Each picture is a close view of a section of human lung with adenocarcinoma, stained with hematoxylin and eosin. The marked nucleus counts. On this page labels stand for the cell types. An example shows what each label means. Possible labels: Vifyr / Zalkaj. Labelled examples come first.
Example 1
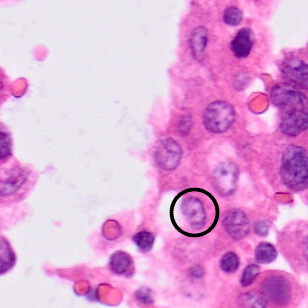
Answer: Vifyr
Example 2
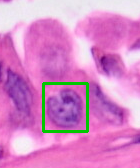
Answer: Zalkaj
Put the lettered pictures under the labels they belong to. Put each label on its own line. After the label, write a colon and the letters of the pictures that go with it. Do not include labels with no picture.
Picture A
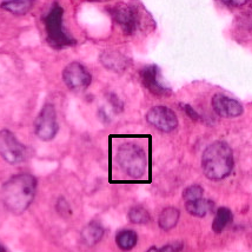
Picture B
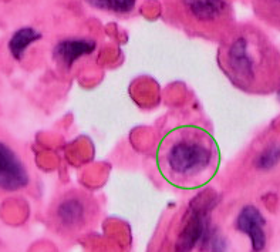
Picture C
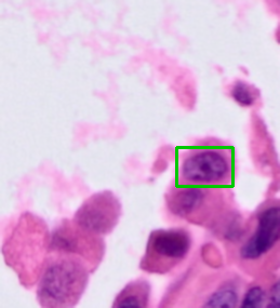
Vifyr: A, B
Zalkaj: C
